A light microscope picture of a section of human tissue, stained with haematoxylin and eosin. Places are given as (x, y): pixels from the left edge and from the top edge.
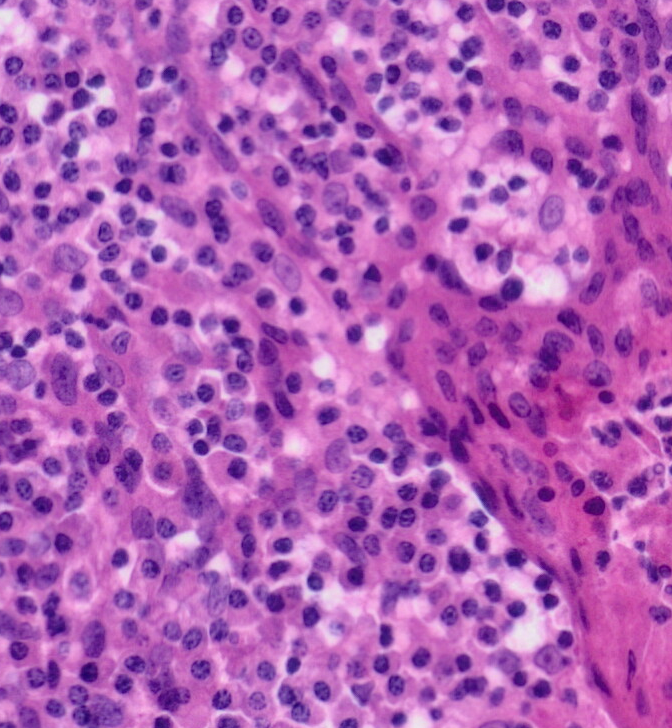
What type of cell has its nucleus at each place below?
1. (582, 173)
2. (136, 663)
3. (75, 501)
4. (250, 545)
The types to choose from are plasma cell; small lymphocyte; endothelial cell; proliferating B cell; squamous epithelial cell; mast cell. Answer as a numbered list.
1. squamous epithelial cell
2. plasma cell
3. plasma cell
4. plasma cell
